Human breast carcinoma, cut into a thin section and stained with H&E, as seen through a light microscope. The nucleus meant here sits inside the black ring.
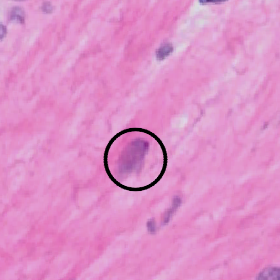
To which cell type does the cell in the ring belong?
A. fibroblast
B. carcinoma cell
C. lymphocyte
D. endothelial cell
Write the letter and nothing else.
A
